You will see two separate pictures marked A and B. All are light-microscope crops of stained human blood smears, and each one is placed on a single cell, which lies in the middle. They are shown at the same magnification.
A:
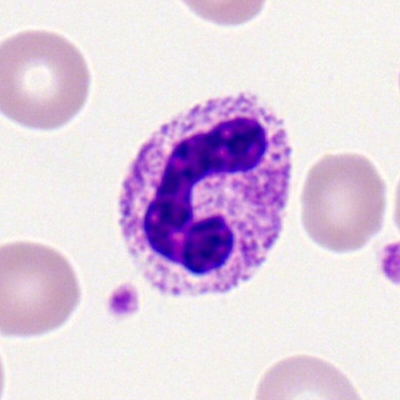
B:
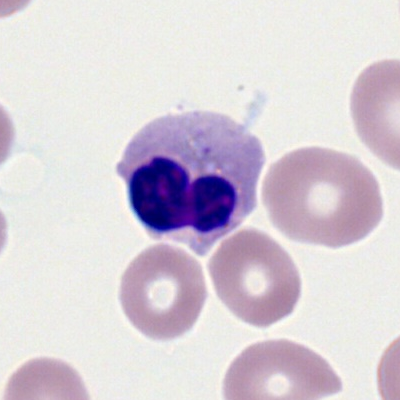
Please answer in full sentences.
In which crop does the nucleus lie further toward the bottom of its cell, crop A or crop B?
In crop B the nucleus is shifted more toward the bottom.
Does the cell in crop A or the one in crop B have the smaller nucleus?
It is the nucleus in crop B; the one in crop A has about 1.5 times its area.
